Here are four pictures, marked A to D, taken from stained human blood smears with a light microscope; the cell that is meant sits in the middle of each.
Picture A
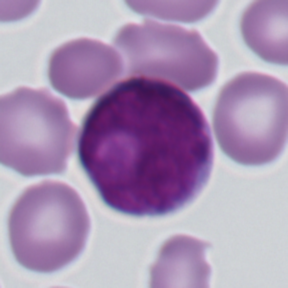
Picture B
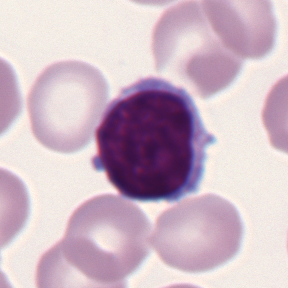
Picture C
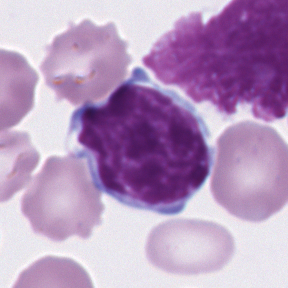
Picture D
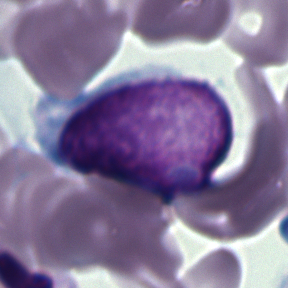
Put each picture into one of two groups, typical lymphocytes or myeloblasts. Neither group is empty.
A: myeloblast
B: typical lymphocyte
C: typical lymphocyte
D: myeloblast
